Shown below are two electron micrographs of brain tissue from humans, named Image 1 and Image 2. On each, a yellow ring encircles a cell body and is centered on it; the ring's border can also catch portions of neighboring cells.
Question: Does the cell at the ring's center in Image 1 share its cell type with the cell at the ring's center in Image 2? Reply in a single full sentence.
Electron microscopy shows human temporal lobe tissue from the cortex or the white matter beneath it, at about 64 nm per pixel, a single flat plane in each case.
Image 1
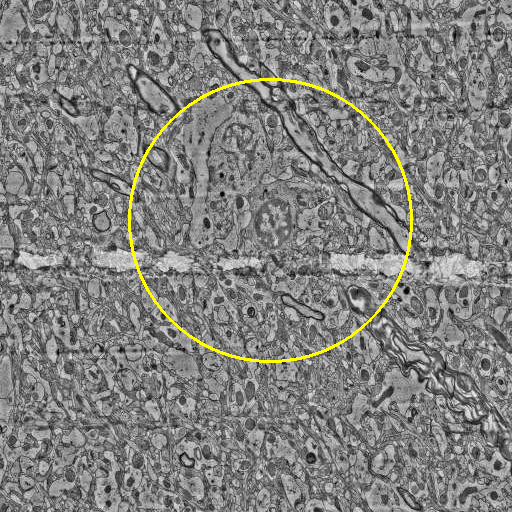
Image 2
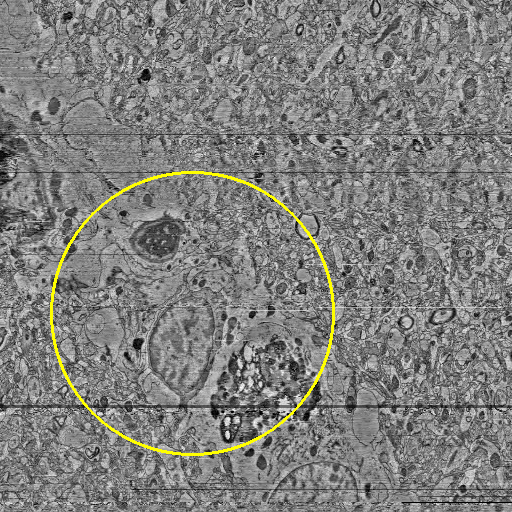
Yes, the two cells at the ring centers, in Image 1 and Image 2, share one cell type.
